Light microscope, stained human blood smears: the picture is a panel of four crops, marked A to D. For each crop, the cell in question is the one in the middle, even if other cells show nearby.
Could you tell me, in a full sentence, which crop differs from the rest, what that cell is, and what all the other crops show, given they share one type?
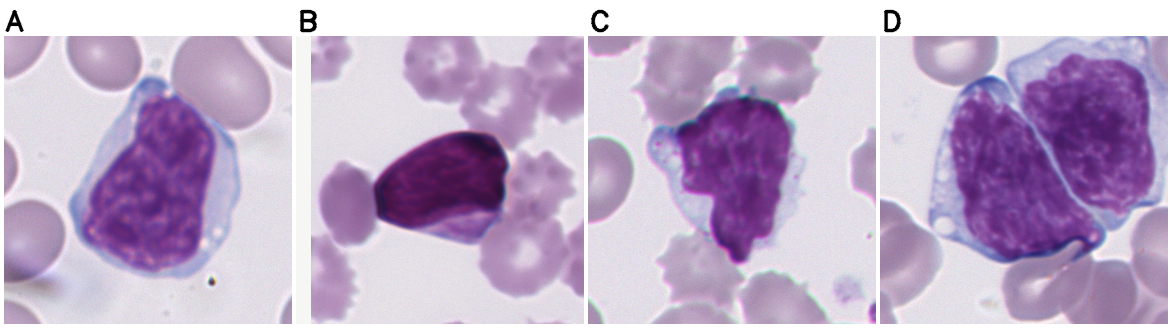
Crop C holds a typical lymphocyte, unlike the remaining crops, all of which hold myeloblasts.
